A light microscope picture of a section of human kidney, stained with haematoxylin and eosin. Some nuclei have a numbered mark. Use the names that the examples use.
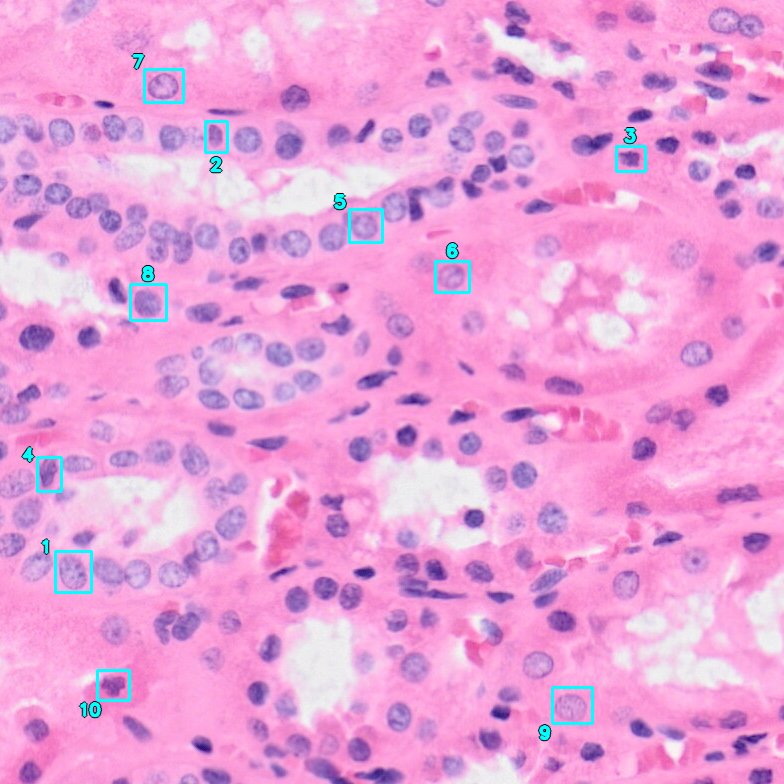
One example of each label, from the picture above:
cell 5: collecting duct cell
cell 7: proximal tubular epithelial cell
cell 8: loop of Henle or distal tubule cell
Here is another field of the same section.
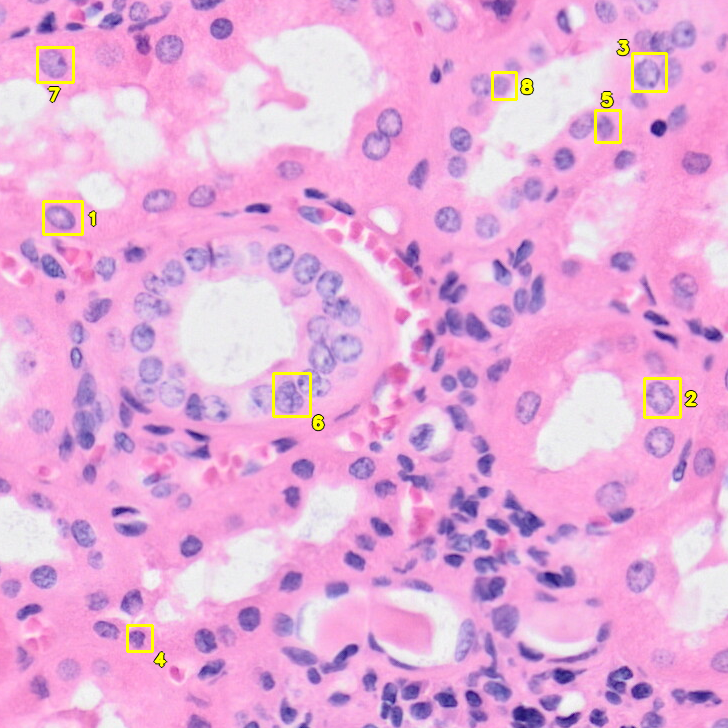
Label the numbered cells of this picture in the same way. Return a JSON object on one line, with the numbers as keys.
{"1": "proximal tubular epithelial cell", "2": "proximal tubular epithelial cell", "3": "collecting duct cell", "4": "loop of Henle or distal tubule cell", "5": "collecting duct cell", "6": "collecting duct cell", "7": "proximal tubular epithelial cell", "8": "collecting duct cell"}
